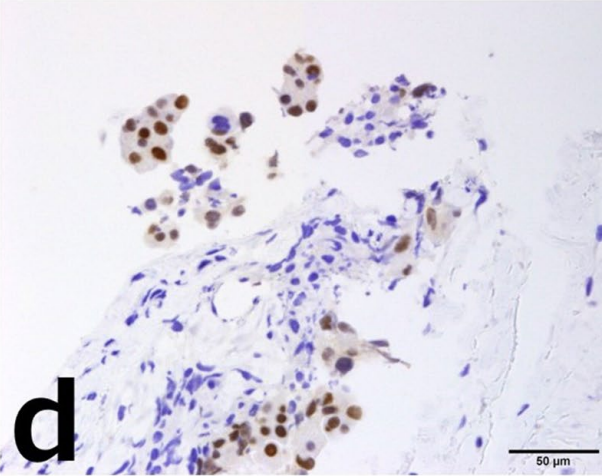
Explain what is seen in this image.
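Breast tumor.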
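Clusters of cancer cells lie in loose fibrous stroma, some floating free at the edge of the tissue. The cancer cells have enlarged round to oval nuclei that stain dark brown, set in pale pinkish-grey cytoplasm.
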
